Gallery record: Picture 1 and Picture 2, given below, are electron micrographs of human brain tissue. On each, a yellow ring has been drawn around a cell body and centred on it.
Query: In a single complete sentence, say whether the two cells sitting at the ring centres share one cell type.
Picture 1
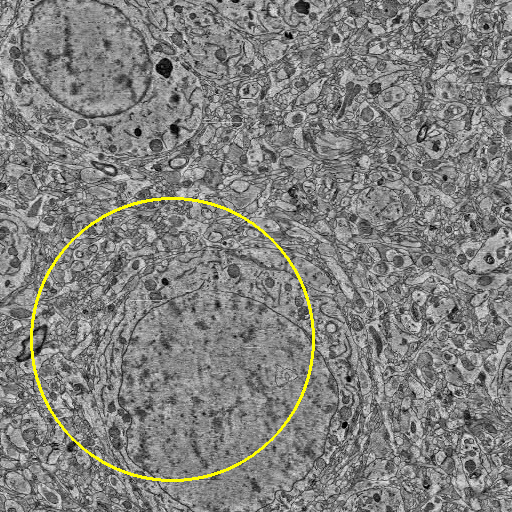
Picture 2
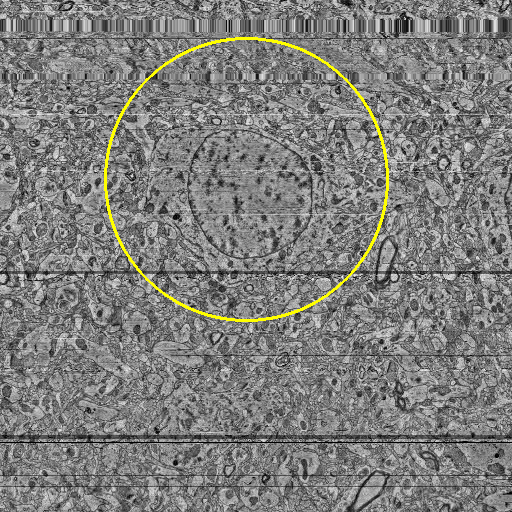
Yes, in both pictures the cell at the ring's centre is of one and the same type.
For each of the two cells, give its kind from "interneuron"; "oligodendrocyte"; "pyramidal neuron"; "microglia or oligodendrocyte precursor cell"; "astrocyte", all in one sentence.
Each of the two rings surrounds a pyramidal neuron.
